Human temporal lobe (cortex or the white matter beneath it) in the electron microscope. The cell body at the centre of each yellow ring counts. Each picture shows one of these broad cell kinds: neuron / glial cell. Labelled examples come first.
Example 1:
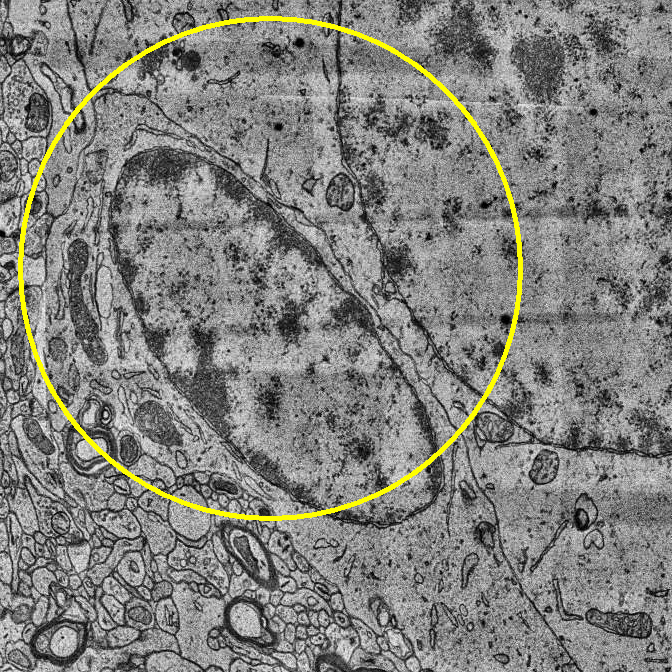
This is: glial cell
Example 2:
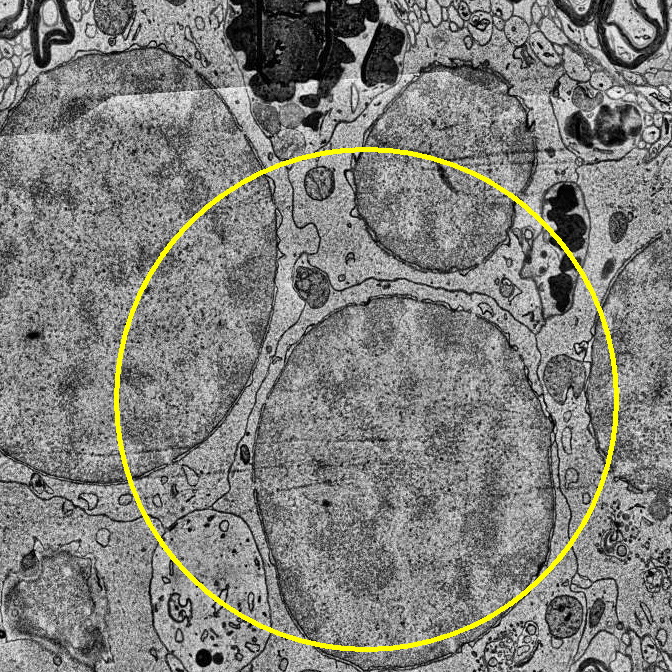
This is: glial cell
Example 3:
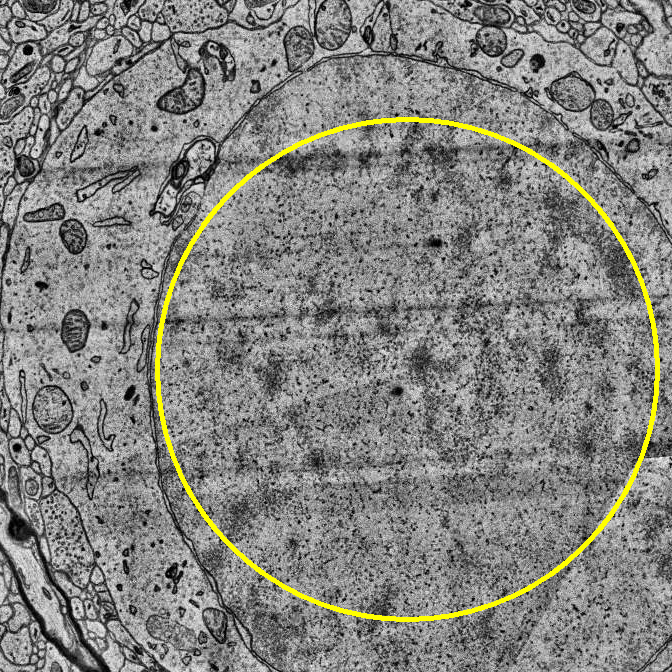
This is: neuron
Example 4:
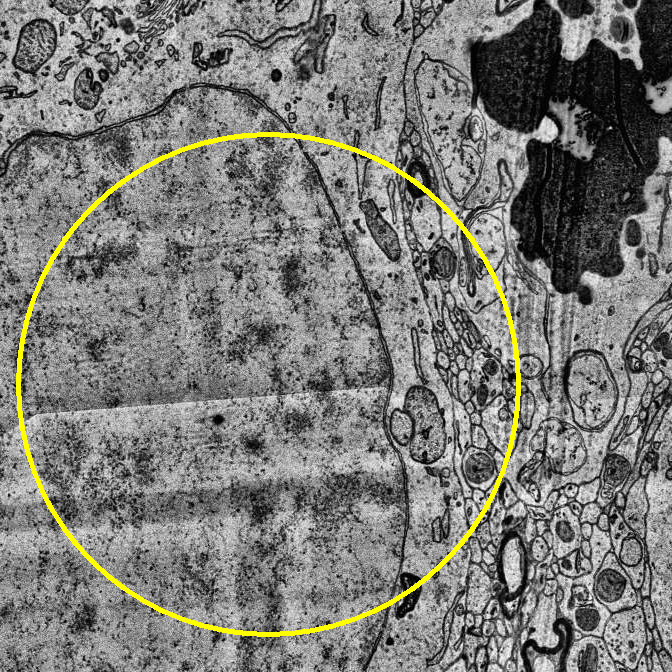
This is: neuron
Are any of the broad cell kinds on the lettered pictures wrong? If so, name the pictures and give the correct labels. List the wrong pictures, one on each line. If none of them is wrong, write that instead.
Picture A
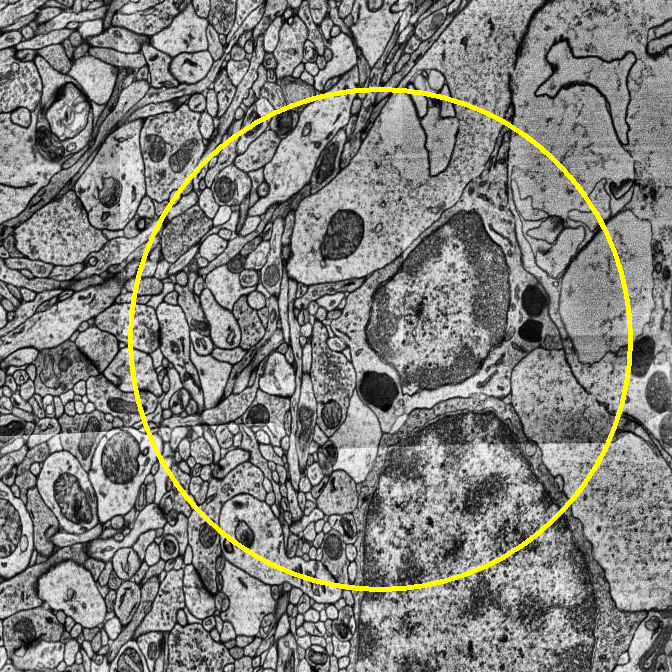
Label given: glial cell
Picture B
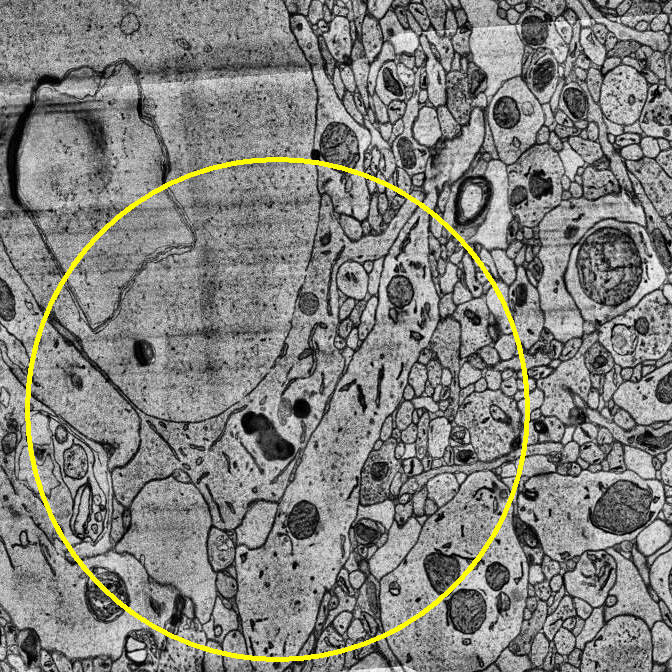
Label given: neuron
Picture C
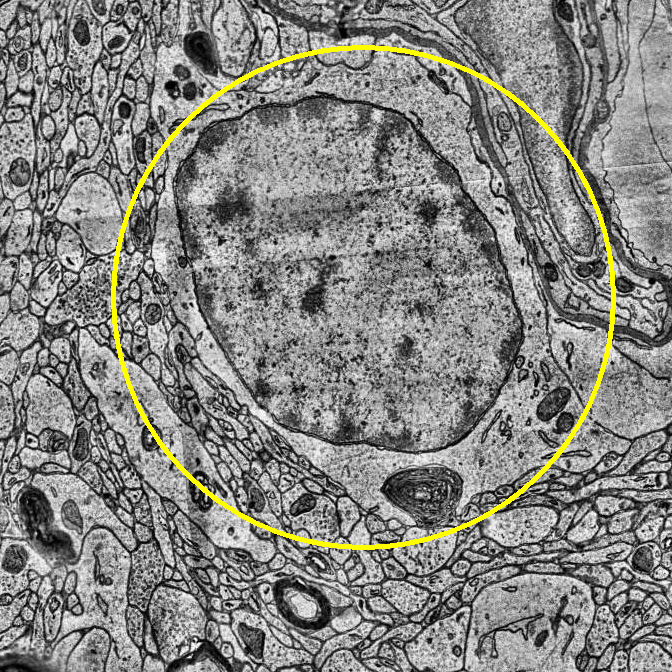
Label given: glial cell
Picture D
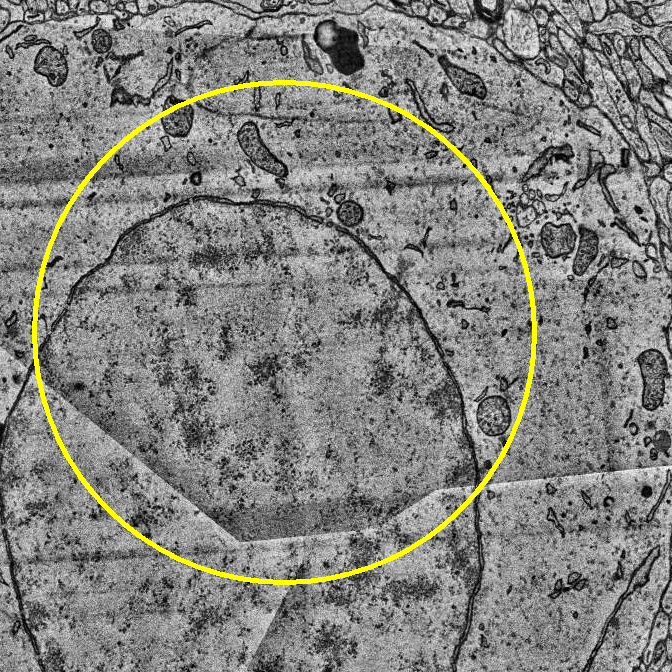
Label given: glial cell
B should be glial cell, not neuron
D should be neuron, not glial cell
